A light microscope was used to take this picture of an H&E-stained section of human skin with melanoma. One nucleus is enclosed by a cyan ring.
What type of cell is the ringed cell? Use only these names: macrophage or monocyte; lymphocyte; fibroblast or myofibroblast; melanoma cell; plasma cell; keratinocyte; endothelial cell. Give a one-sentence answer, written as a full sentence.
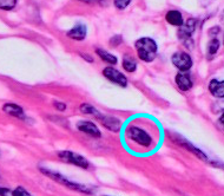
In this preparation, the ringed cell is a lymphocyte.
